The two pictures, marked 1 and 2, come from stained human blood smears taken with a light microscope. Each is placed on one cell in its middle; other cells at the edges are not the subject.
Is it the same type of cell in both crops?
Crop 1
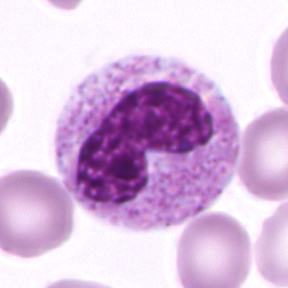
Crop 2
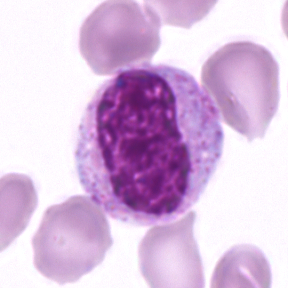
no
